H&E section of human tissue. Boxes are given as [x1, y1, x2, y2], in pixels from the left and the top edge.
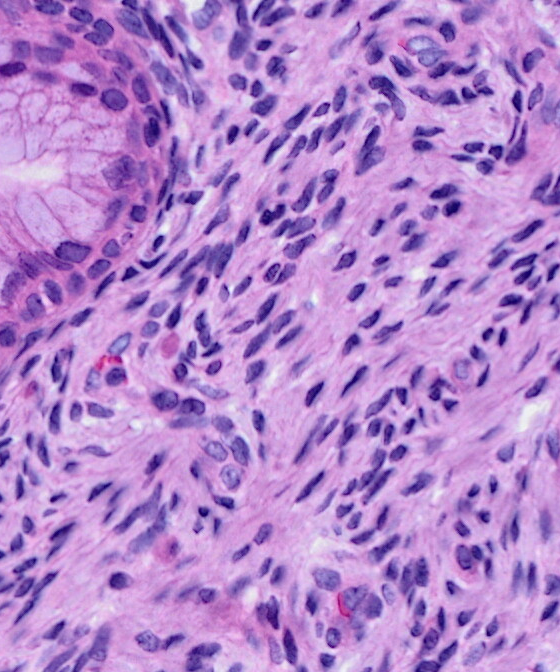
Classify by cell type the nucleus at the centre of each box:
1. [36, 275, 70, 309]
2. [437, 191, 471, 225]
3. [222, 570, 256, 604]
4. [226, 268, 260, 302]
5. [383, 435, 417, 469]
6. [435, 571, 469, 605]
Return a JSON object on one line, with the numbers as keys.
{"1": "secretory epithelial cell", "2": "lymphocyte", "3": "fibroblast", "4": "fibroblast", "5": "fibroblast", "6": "fibroblast"}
